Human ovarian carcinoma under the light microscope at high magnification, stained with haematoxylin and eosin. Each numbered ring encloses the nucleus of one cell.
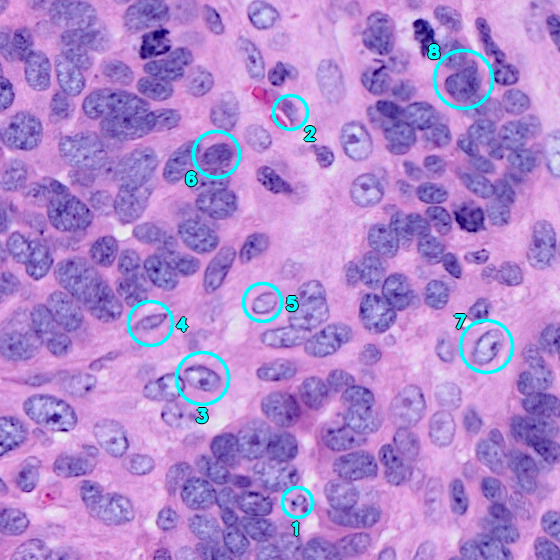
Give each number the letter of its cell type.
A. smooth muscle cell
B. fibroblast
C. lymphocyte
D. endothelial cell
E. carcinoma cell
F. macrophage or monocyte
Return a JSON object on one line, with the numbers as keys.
{"1": "F", "2": "D", "3": "B", "4": "B", "5": "B", "6": "E", "7": "B", "8": "E"}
